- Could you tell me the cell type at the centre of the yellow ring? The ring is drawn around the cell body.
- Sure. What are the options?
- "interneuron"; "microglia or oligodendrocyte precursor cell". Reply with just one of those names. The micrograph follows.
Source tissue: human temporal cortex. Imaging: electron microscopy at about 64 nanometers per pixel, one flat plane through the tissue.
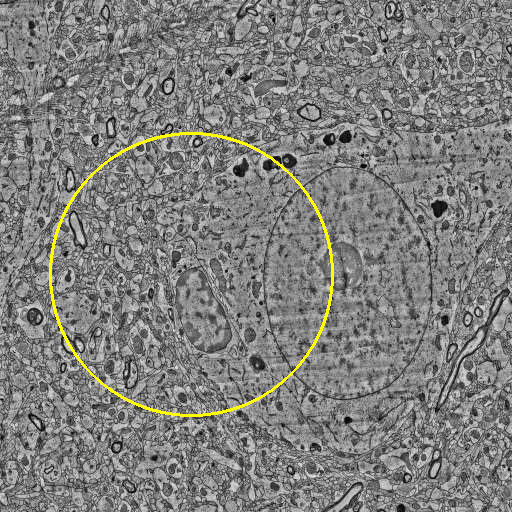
microglia or oligodendrocyte precursor cell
